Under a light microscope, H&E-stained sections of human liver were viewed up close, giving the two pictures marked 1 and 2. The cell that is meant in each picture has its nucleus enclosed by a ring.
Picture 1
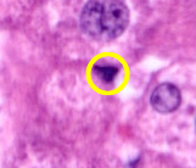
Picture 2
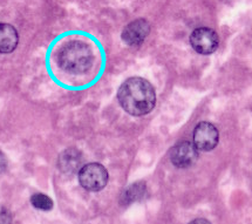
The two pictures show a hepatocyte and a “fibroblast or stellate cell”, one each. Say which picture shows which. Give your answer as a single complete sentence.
The cell in picture 1 is a “fibroblast or stellate cell”, and the one in picture 2 is a hepatocyte.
